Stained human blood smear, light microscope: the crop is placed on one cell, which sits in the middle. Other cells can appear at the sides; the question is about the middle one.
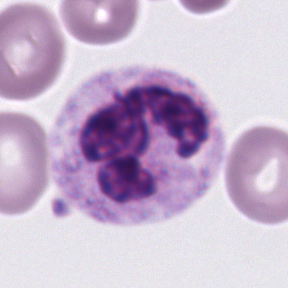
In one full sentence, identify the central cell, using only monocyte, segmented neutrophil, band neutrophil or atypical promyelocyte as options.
Here the centrally located cell is a segmented neutrophil.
